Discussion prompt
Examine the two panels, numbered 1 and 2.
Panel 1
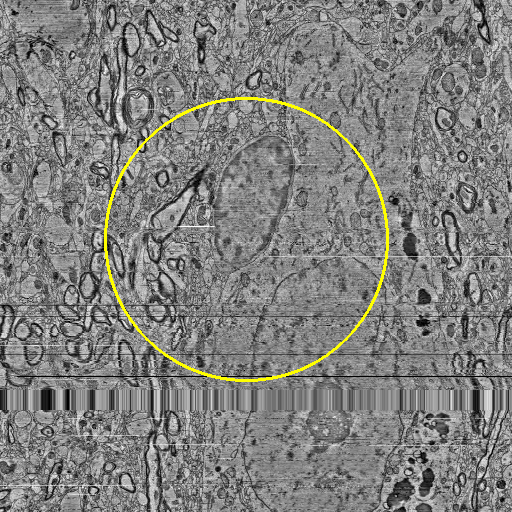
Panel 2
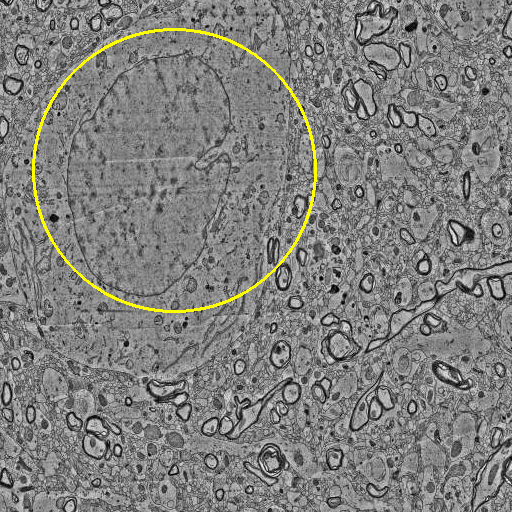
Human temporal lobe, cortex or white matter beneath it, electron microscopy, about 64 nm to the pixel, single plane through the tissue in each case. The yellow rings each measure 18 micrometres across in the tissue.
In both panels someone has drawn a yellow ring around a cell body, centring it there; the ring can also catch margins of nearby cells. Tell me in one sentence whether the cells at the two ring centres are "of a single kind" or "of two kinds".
Taken together, the two cells centred in the rings of Panels 1 and 2 are of two kinds.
